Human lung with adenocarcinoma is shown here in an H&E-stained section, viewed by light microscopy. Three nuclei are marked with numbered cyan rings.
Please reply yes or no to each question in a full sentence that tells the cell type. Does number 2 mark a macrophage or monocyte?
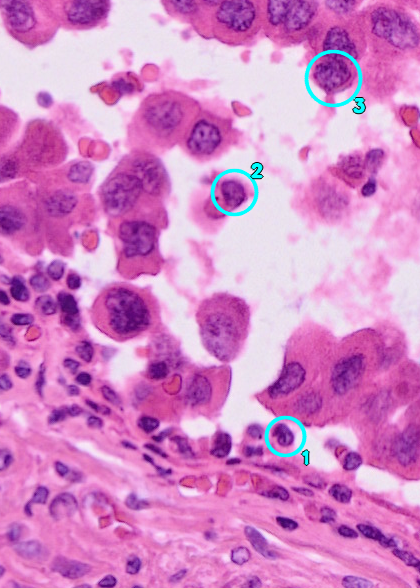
Yes, among the marked cells, the one with number 2 is a macrophage or monocyte.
